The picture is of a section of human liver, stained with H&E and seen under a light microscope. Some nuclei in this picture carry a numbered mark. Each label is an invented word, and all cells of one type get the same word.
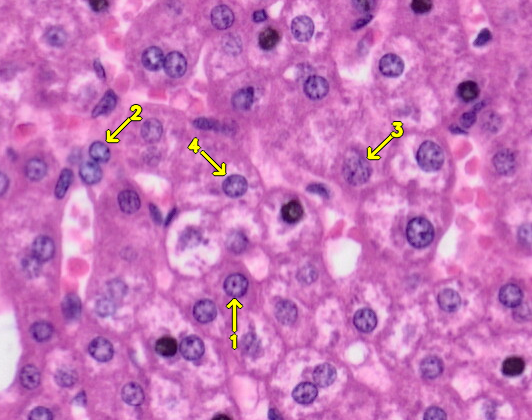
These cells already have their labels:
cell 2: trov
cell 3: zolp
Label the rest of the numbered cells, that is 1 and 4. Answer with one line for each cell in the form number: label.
1: zolp
4: zolp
